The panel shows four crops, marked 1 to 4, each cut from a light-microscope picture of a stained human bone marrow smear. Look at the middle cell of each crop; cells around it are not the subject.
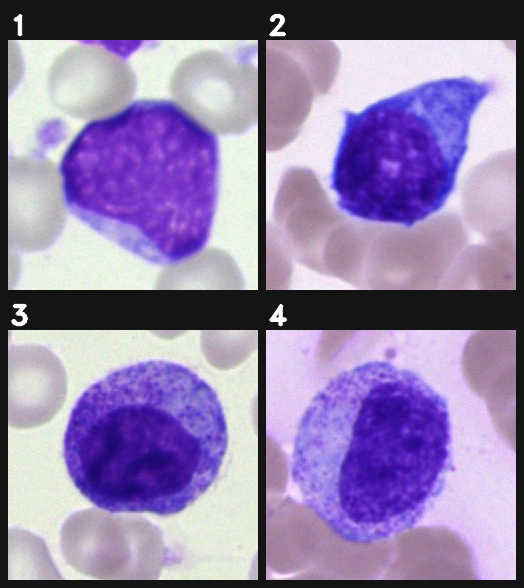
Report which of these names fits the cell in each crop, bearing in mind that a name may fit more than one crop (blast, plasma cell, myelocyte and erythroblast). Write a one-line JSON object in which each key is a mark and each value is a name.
{"1": "blast", "2": "blast", "3": "myelocyte", "4": "myelocyte"}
